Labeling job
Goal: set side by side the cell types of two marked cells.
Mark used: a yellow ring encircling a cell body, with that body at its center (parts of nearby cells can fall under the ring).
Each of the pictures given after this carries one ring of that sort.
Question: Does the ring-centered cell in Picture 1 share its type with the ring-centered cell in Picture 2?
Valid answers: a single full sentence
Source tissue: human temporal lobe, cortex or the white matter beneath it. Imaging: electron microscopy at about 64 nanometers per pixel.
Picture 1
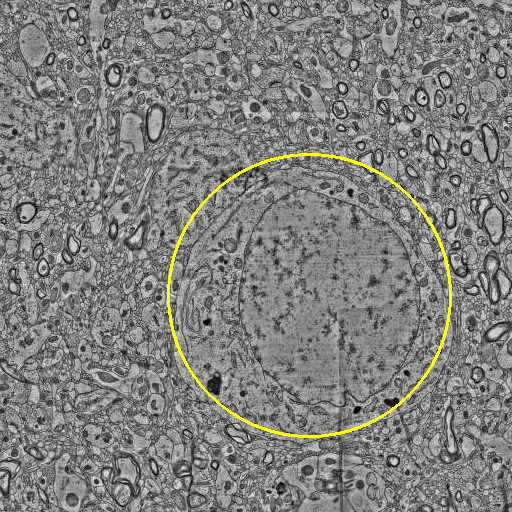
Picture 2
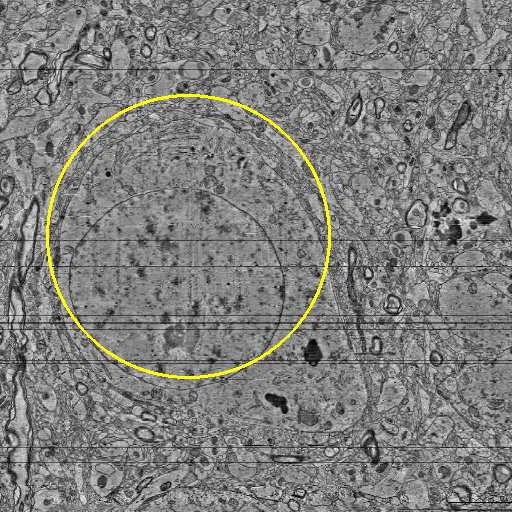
Yes, in Pictures 1 and 2 the cells at the ring centers share one type.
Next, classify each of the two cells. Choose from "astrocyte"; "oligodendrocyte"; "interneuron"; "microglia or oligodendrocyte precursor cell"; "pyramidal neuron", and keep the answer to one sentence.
Each of the two pictures has a pyramidal neuron at the ring centre.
